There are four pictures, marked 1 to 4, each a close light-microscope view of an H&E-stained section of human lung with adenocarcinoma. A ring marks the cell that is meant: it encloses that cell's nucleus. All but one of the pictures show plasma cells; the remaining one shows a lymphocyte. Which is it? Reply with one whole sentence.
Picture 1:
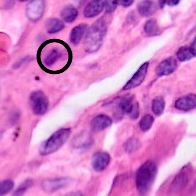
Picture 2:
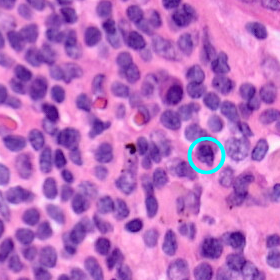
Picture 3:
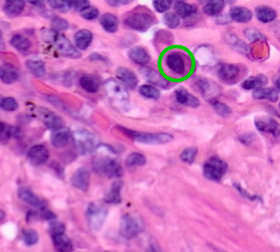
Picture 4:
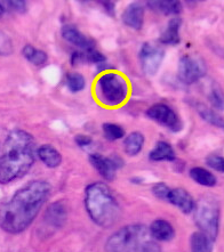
Picture 2 is the one that shows the lymphocyte.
